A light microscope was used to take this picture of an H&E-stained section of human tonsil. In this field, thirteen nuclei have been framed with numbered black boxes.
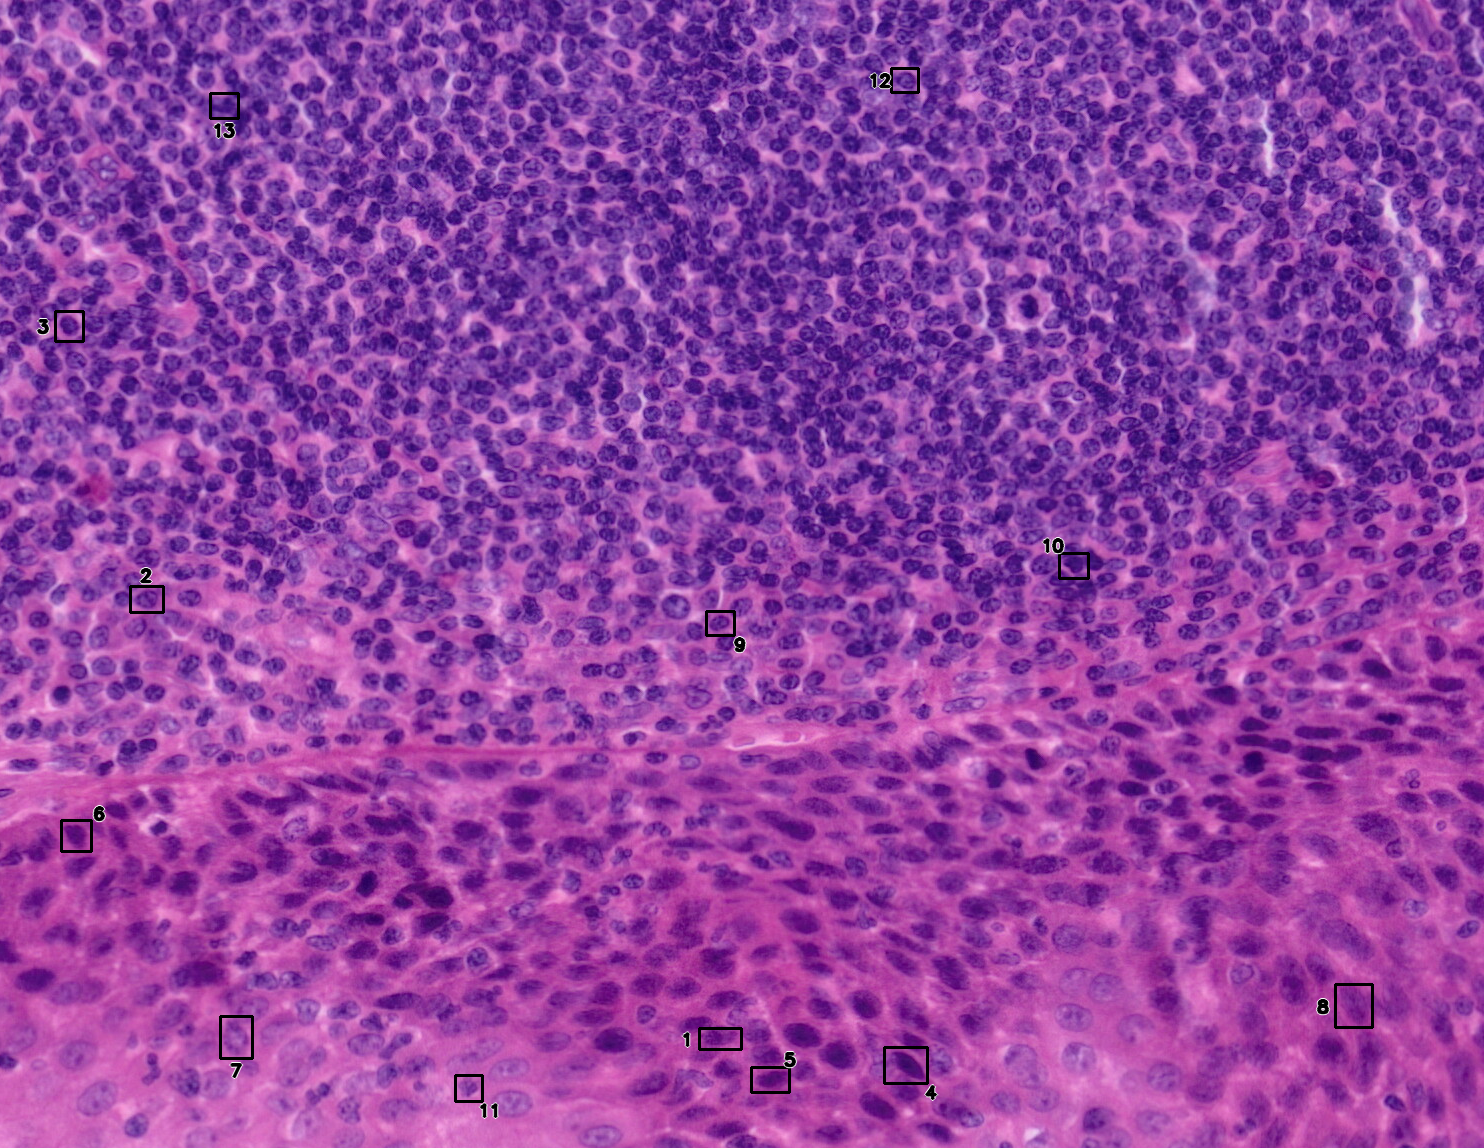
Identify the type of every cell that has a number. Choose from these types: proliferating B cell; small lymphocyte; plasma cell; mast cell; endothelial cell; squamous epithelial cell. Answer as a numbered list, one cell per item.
1. squamous epithelial cell
2. plasma cell
3. small lymphocyte
4. squamous epithelial cell
5. squamous epithelial cell
6. squamous epithelial cell
7. squamous epithelial cell
8. squamous epithelial cell
9. plasma cell
10. small lymphocyte
11. squamous epithelial cell
12. small lymphocyte
13. small lymphocyte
